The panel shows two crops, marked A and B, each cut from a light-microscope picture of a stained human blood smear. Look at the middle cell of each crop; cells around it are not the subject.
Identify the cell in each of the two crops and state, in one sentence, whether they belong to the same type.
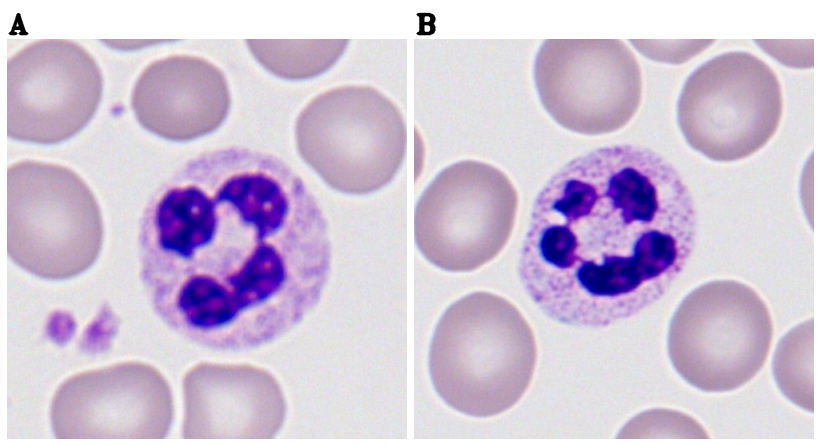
Yes, both crops, not just one, show segmented neutrophils.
